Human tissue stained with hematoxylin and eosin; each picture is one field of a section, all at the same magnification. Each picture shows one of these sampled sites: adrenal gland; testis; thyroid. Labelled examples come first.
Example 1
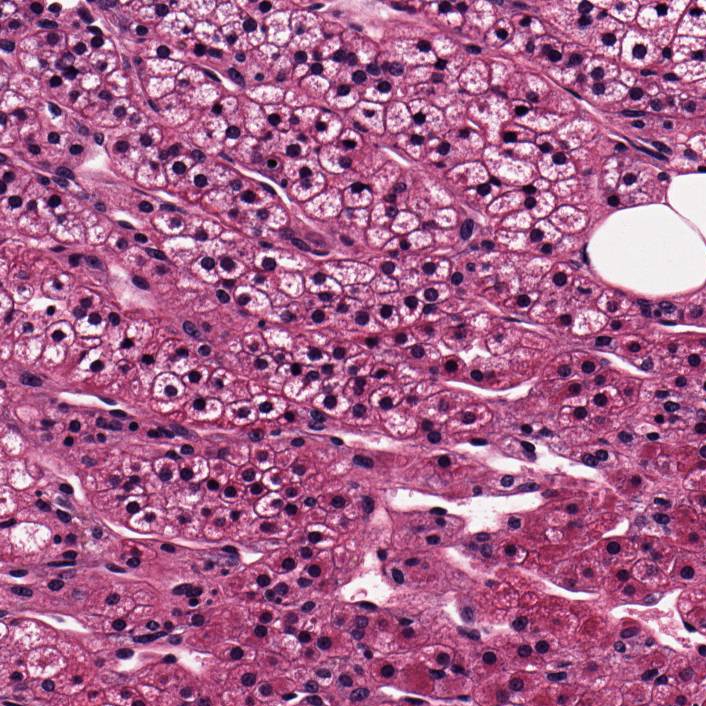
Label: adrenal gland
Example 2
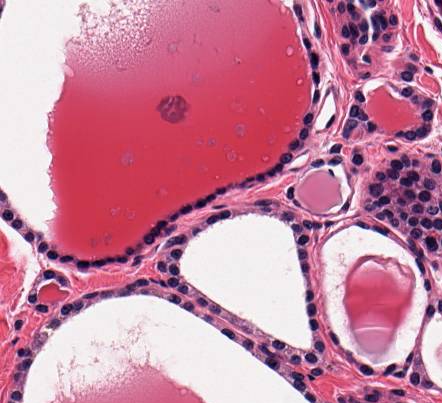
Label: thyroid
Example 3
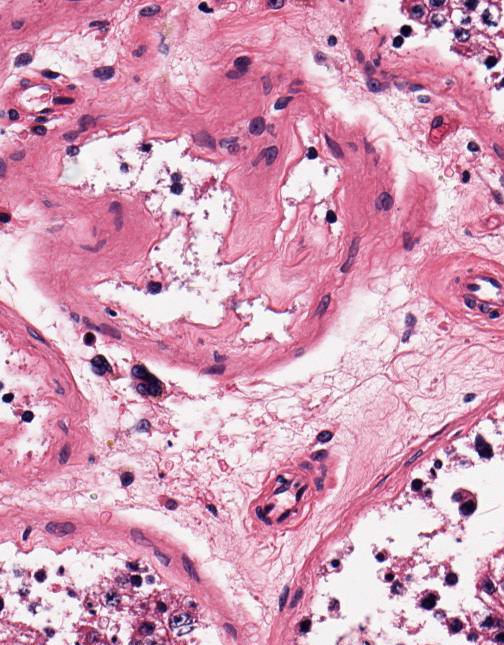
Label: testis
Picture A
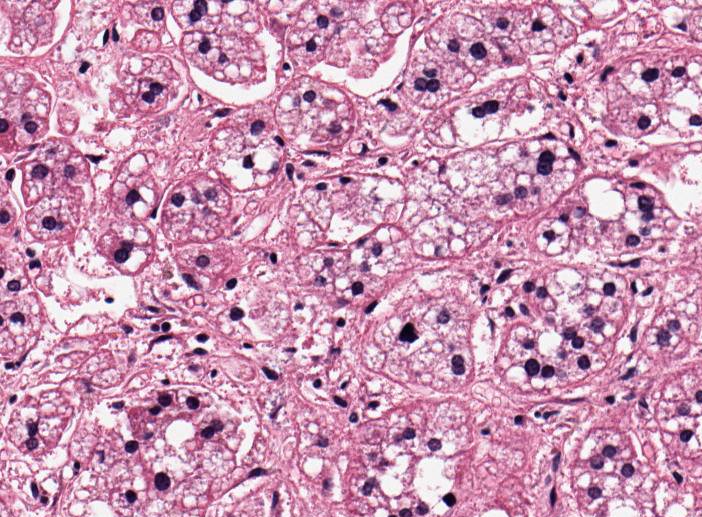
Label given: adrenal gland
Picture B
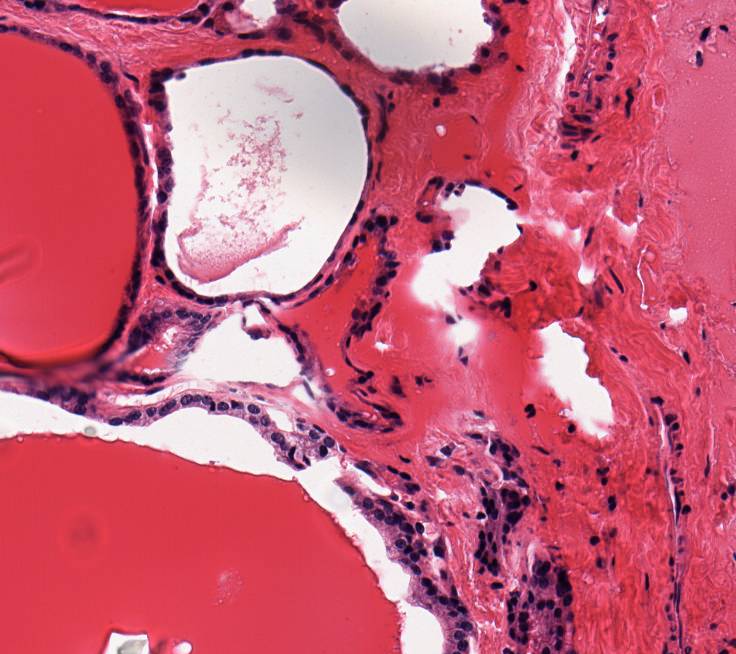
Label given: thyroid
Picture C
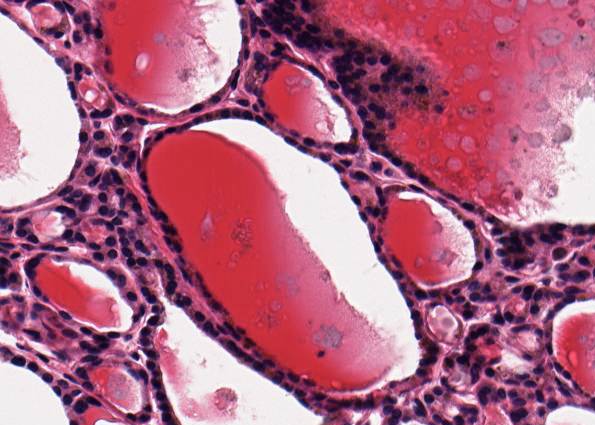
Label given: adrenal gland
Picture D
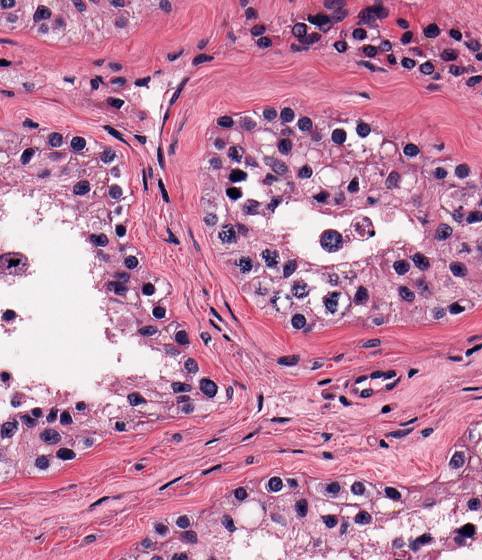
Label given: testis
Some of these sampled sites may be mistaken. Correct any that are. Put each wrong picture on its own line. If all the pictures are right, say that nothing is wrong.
Wrong: C (adrenal gland); correct: thyroid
